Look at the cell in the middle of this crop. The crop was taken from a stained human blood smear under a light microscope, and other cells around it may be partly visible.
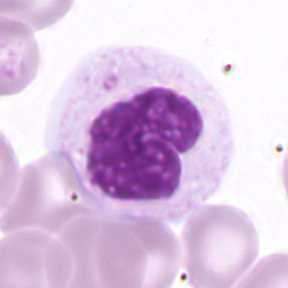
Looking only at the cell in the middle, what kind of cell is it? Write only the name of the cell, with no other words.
band neutrophil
